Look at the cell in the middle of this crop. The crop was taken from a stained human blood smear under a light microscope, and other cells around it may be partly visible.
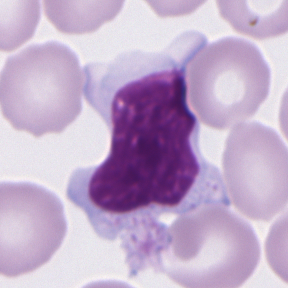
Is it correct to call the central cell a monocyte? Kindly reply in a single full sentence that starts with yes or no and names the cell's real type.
No, in the middle of the crop there is a large granular lymphocyte rather than a monocyte.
